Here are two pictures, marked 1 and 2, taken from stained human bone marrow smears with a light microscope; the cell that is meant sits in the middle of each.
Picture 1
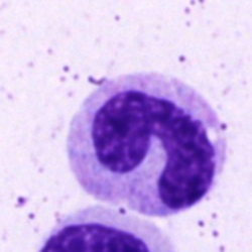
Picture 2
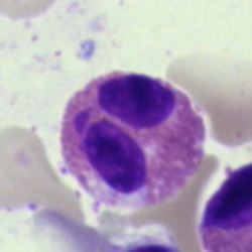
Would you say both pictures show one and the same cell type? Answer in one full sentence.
No. Picture 1 shows a band neutrophil, but picture 2 shows an eosinophil.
